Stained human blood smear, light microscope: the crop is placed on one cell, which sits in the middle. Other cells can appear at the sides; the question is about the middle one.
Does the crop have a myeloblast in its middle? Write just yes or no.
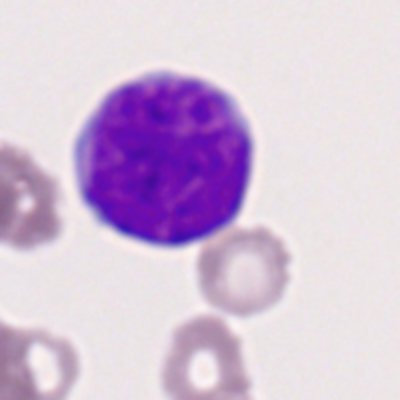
yes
